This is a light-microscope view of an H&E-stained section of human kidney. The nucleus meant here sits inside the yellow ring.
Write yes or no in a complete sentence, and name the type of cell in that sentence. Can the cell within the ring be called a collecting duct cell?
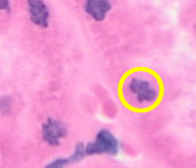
No, the cell within the ring represents a proximal tubule cell and does not represent a collecting duct cell.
